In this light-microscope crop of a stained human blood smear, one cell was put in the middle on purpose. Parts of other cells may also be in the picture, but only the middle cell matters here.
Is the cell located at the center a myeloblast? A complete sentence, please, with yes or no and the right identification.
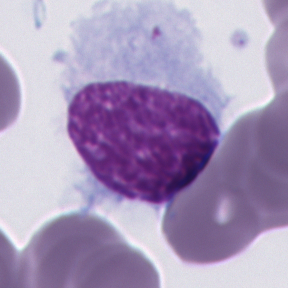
No, the cell in the middle is a hairy cell, not a myeloblast.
